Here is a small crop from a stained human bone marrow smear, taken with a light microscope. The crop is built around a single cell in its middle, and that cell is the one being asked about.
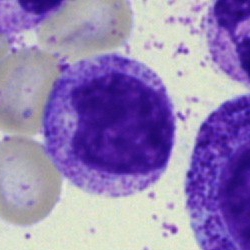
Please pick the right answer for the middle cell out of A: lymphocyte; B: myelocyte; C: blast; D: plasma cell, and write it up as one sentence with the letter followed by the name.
The cell positioned centrally is a myelocyte, as given in option B, which is correct.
